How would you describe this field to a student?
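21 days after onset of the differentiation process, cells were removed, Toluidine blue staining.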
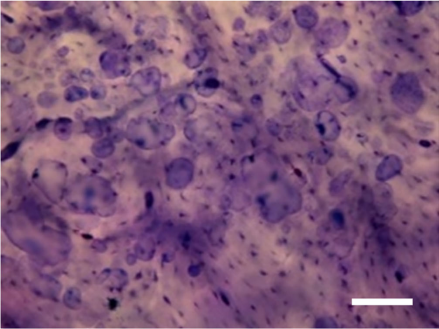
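Bone surface with numerous resorption pits: round to irregular darker purple depressions, some merging into larger areas, scattered over a paler violet matrix. Small dark elongated spots are spread through the matrix between pits.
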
